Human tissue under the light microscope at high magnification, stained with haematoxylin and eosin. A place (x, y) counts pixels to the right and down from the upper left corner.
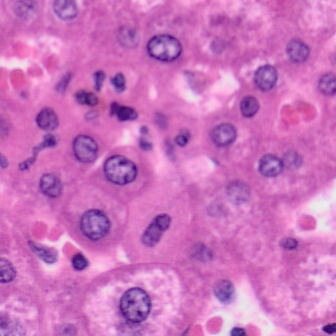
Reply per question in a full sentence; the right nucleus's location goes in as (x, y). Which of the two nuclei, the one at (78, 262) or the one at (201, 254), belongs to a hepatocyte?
The nucleus whose position is (201, 254) belongs to a hepatocyte.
